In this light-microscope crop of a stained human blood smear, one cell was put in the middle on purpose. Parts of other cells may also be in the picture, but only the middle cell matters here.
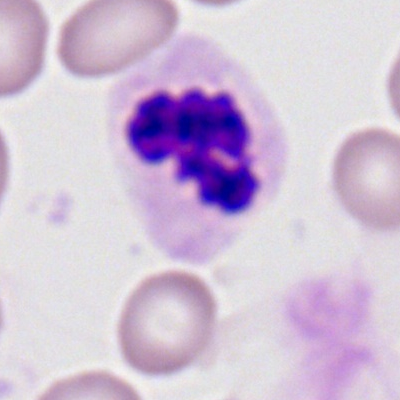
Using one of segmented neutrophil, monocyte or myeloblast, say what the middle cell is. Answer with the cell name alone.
segmented neutrophil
